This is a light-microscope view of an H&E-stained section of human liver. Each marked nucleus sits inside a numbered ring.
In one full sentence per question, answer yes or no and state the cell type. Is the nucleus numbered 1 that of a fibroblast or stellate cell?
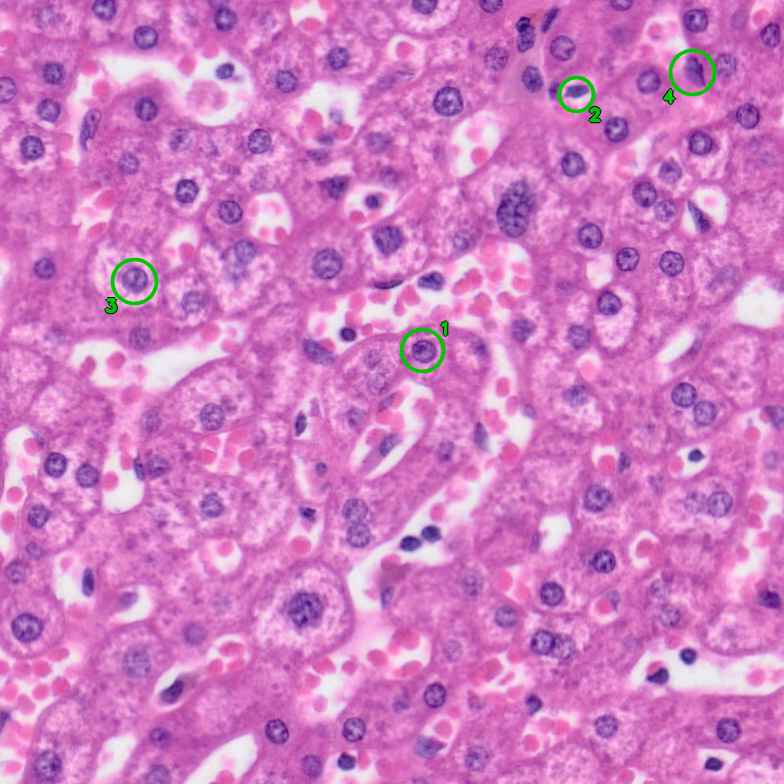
No, cell 1 is not a fibroblast or stellate cell, but is instead a hepatocyte.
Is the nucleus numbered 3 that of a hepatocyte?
Yes, with respect to number 3, the cell is a hepatocyte.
